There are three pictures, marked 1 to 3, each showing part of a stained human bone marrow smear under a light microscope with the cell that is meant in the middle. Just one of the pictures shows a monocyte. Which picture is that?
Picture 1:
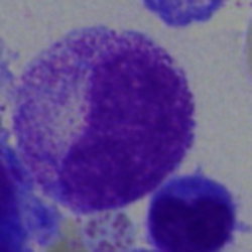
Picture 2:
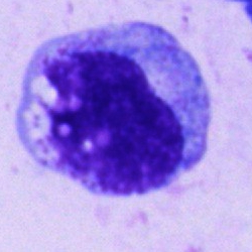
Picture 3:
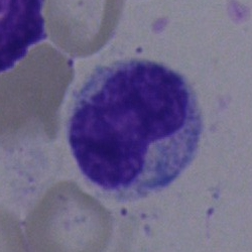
2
